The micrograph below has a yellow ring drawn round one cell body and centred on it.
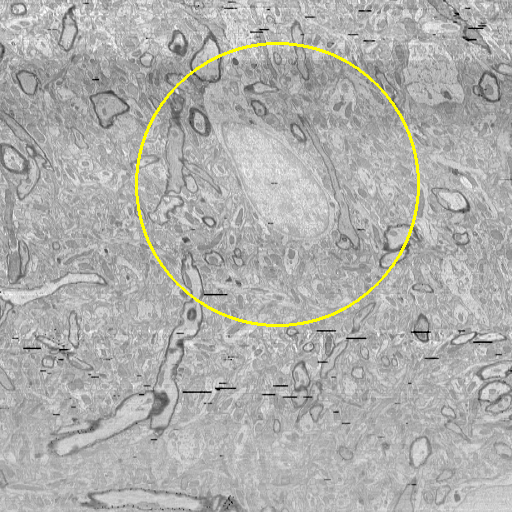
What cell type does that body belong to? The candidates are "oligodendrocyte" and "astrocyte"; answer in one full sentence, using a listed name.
This is an oligodendrocyte, the cell whose body lies at the centre of the ring.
